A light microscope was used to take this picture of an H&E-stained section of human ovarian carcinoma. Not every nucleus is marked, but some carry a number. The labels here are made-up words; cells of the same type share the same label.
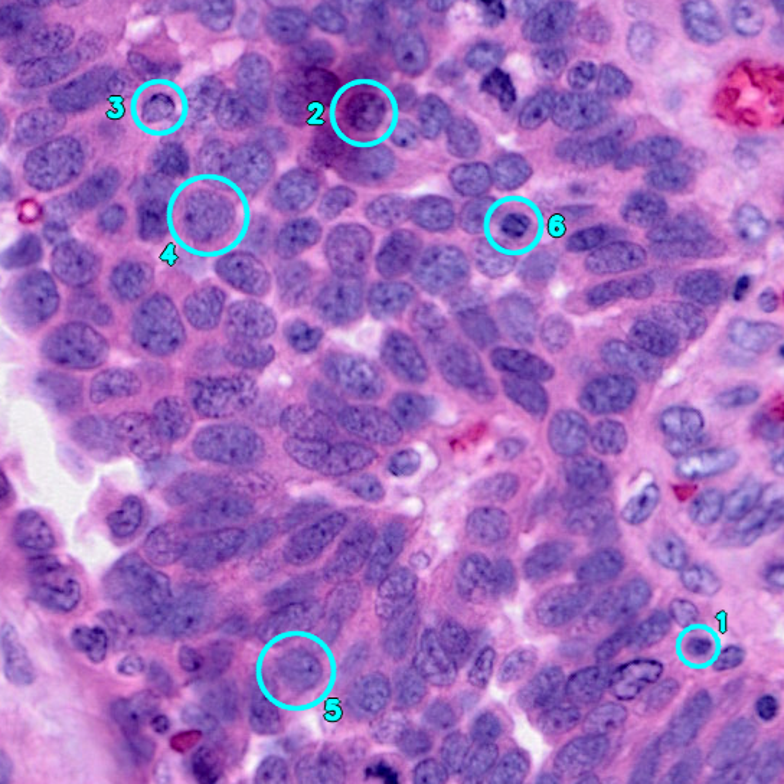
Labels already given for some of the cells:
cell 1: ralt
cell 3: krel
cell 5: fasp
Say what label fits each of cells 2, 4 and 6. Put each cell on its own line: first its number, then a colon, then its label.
2: fasp
4: fasp
6: ralt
